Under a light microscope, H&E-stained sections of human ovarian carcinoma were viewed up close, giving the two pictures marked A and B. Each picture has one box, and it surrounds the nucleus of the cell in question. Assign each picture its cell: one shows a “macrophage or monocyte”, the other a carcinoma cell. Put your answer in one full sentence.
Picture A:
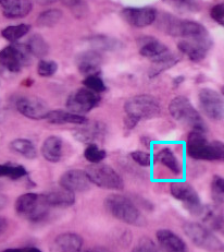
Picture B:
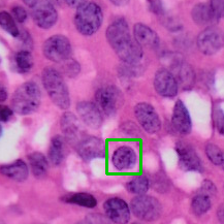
In picture A the cell is a carcinoma cell; in picture B, a “macrophage or monocyte”.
